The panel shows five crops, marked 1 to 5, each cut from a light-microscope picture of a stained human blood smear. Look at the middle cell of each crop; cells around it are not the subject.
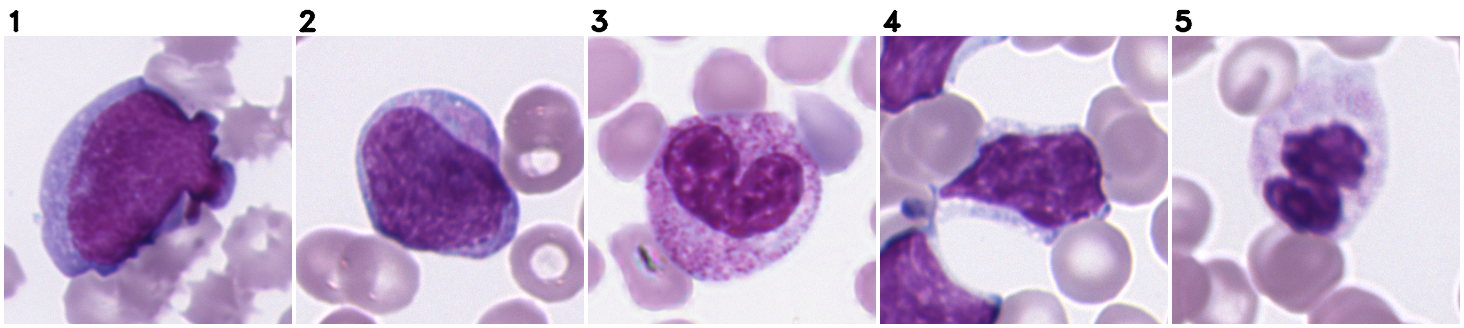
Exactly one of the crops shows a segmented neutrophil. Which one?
5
